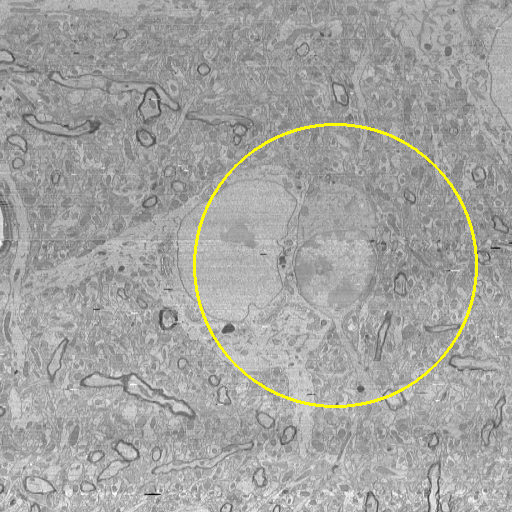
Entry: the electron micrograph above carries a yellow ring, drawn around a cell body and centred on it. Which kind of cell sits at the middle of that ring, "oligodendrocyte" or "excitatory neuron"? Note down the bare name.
oligodendrocyte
